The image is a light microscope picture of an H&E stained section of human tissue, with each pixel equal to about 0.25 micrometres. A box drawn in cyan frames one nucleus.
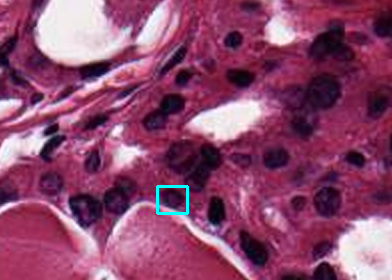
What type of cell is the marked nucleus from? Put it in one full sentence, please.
The marked nucleus is a nucleus of a thyroid follicular cell.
